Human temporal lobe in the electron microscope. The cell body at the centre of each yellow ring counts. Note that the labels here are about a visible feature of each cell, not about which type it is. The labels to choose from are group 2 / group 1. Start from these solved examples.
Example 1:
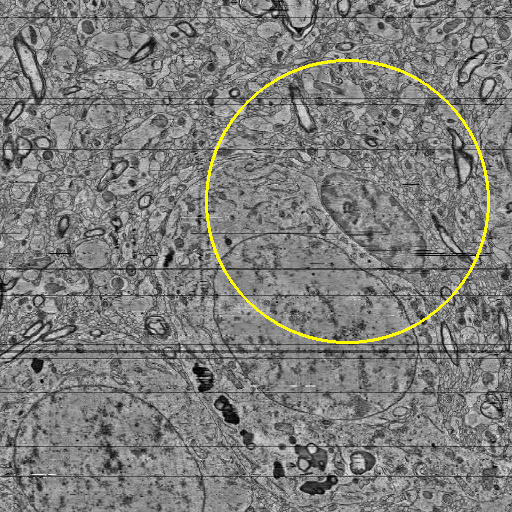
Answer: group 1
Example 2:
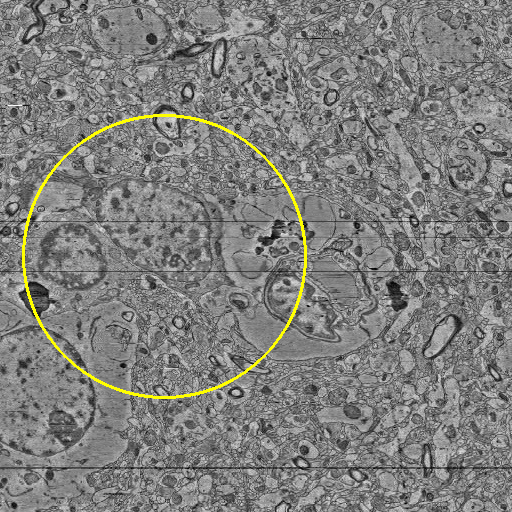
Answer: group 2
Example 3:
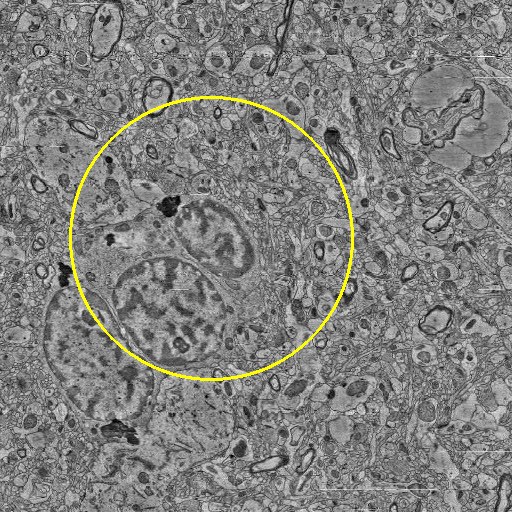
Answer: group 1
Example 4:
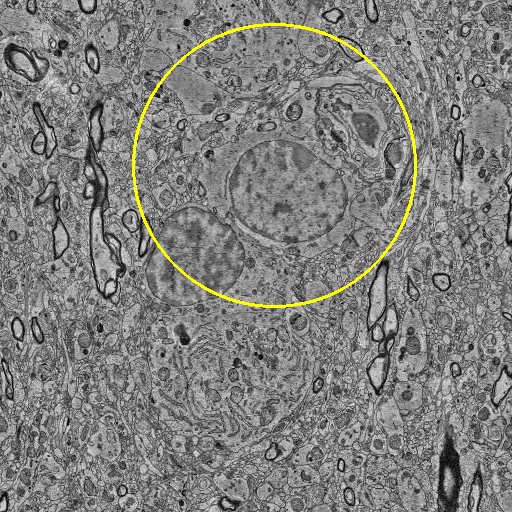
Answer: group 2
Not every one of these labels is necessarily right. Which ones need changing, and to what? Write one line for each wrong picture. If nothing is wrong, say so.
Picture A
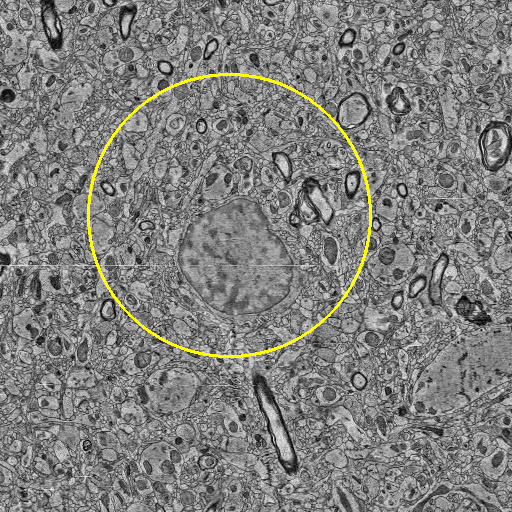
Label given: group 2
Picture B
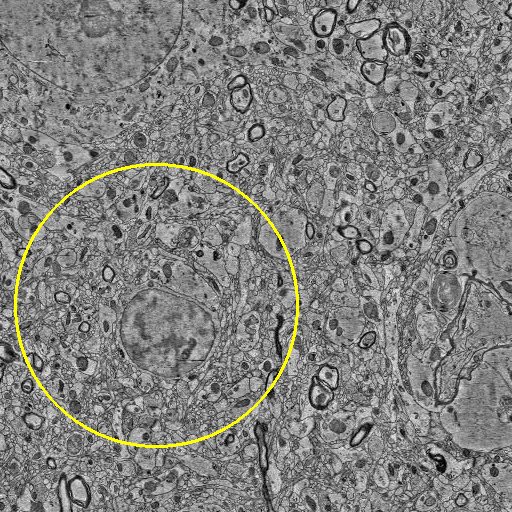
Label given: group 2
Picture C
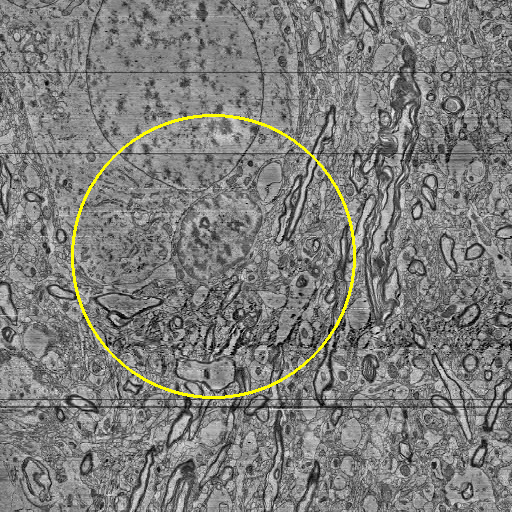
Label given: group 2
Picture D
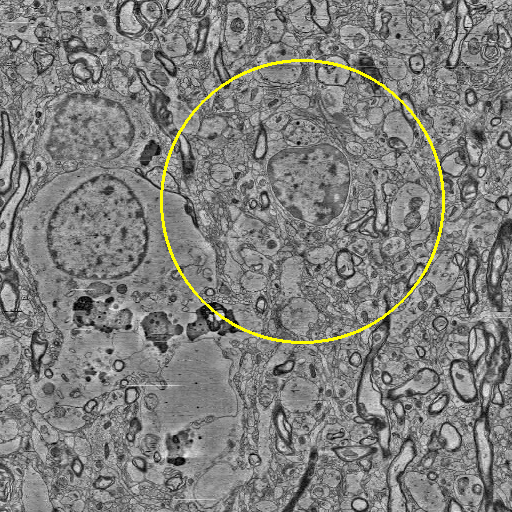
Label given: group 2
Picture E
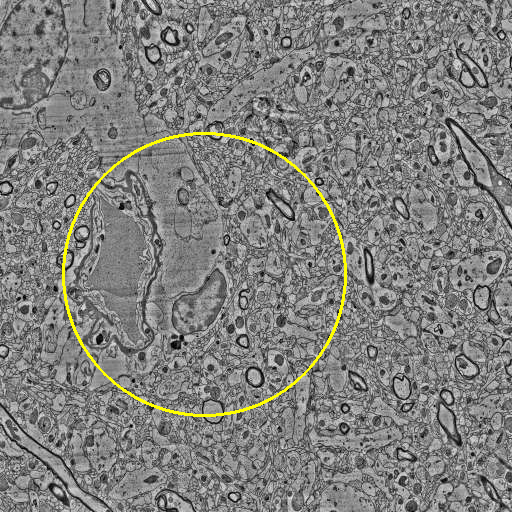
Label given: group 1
All labels are correct.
